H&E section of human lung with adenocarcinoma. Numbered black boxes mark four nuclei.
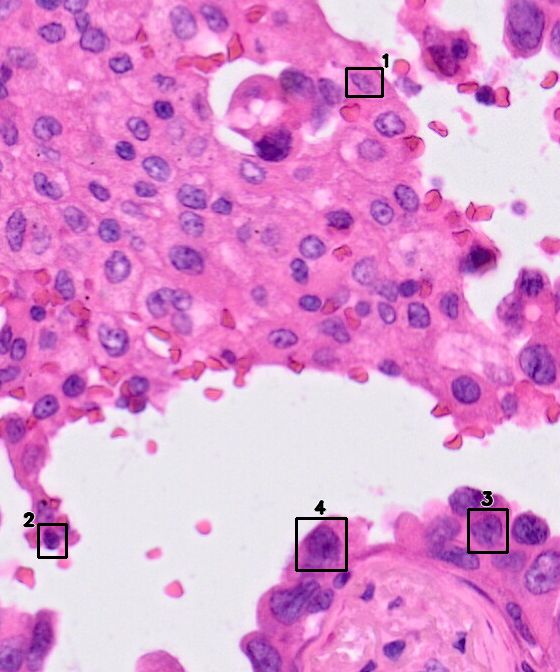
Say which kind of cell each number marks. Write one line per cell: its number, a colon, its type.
1: macrophage or monocyte
2: lymphocyte
3: carcinoma cell
4: carcinoma cell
